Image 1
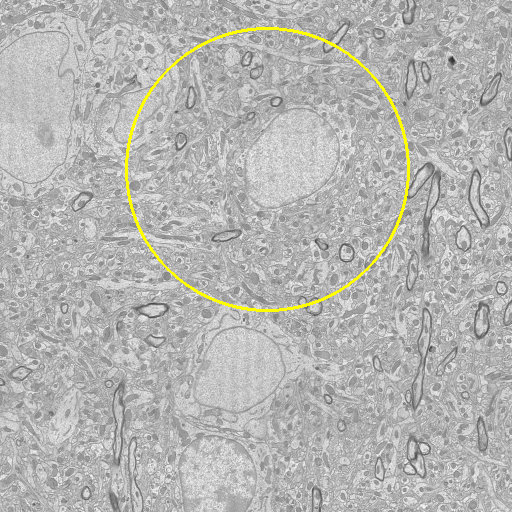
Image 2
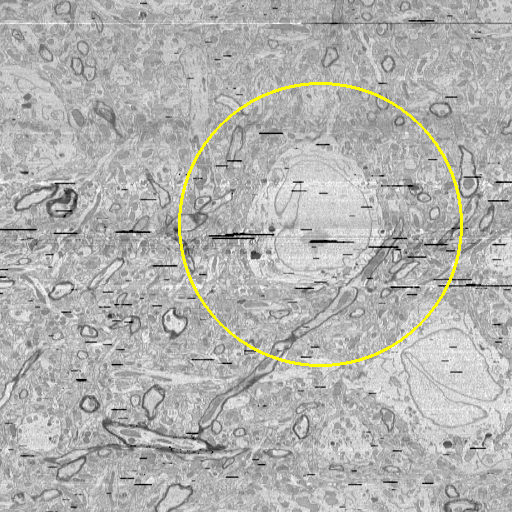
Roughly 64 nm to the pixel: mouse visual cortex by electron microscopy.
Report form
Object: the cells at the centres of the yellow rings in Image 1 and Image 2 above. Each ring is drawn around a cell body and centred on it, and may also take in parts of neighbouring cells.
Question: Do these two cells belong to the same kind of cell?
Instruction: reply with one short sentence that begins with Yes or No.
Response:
No, they belong to two kinds of cell.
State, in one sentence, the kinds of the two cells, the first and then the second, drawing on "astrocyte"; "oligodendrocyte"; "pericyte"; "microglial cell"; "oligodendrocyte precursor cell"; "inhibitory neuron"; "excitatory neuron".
The ring in the second picture is centred on an excitatory neuron, the ring in the first on an astrocyte.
